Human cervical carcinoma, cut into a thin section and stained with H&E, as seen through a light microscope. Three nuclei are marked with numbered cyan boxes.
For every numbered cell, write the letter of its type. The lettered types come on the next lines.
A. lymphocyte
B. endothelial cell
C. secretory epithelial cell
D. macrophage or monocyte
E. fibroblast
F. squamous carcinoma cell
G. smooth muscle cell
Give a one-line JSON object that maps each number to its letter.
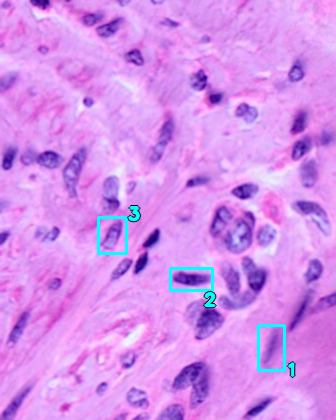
{"1": "E", "2": "E", "3": "G"}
